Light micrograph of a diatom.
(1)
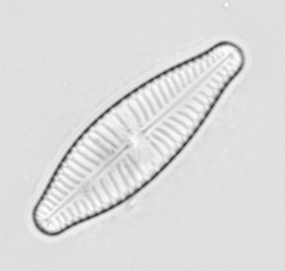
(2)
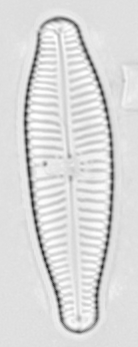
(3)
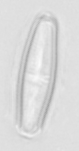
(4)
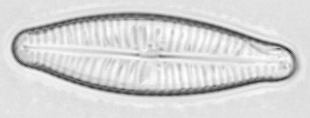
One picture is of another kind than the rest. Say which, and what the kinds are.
Picture 3 shows Achnanthidium; the rest show Gomphonema.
